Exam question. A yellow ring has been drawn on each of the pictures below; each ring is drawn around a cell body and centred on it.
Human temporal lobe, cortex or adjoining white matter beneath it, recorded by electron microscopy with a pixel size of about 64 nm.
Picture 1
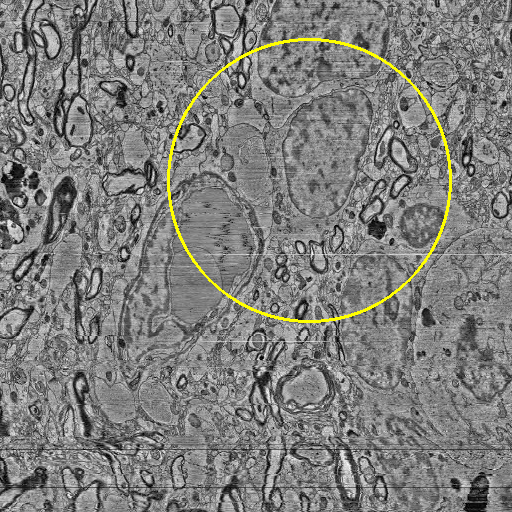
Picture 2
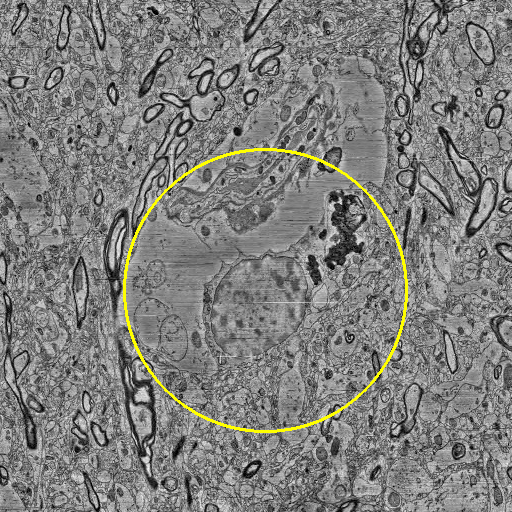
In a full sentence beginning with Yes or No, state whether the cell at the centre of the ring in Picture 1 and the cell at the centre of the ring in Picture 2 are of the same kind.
Yes, the two cells are of the same kind.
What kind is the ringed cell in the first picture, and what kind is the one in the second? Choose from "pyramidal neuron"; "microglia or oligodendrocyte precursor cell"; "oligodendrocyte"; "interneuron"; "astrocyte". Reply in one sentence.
Each of the ringed cells, first and second, is an oligodendrocyte.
